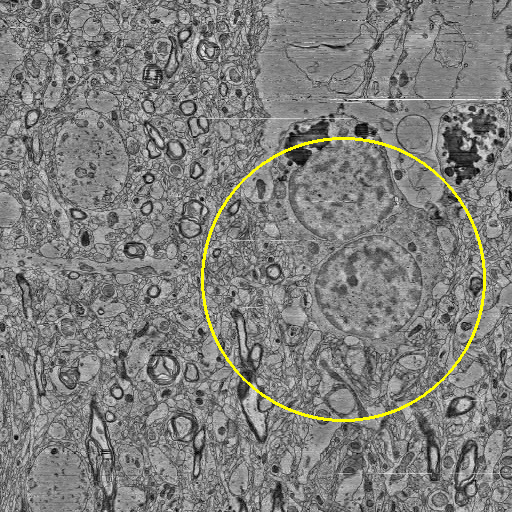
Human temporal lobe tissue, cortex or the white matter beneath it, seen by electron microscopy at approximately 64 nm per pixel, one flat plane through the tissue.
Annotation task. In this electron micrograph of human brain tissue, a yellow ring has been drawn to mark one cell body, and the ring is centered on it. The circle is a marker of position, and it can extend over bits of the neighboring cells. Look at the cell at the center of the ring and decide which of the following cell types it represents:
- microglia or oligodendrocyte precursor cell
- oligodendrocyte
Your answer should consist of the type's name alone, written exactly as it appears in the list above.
oligodendrocyte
